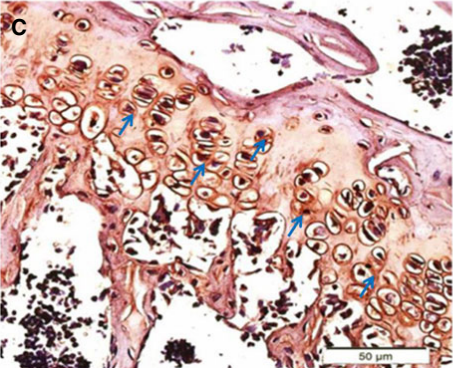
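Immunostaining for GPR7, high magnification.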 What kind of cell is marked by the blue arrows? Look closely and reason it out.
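The arrows point to cells lying in rounded lacunae within a pale orange-red matrix. Cells are grouped in clusters and short columns.
Hence: chondrocytes.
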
